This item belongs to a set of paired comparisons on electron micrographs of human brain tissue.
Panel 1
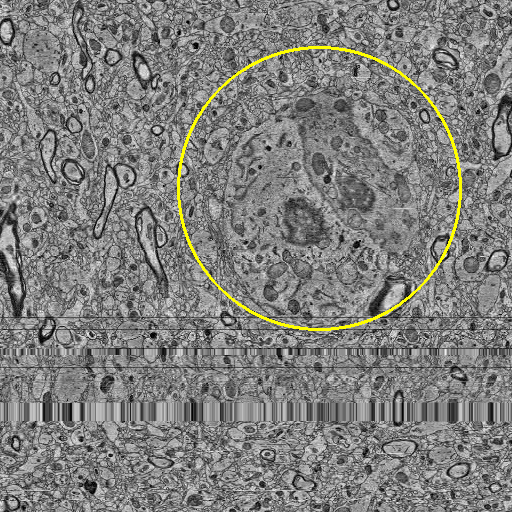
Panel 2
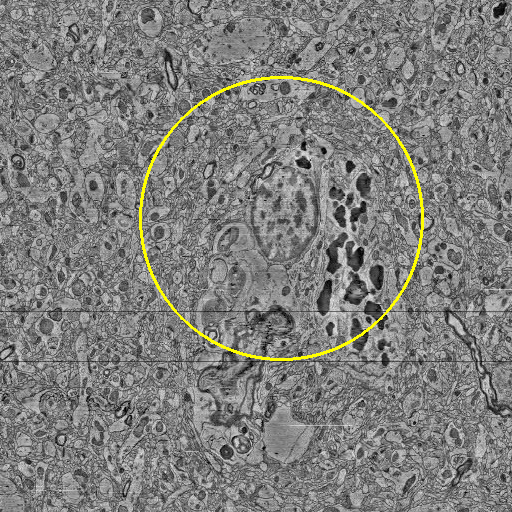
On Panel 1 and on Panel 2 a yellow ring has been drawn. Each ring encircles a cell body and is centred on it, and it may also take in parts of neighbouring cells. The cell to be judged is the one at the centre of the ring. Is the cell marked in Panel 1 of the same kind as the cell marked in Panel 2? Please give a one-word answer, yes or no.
yes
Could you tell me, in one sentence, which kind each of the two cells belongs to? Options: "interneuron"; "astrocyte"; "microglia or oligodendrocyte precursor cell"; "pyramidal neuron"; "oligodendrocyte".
Each cell, in the first picture and the second, is an oligodendrocyte.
